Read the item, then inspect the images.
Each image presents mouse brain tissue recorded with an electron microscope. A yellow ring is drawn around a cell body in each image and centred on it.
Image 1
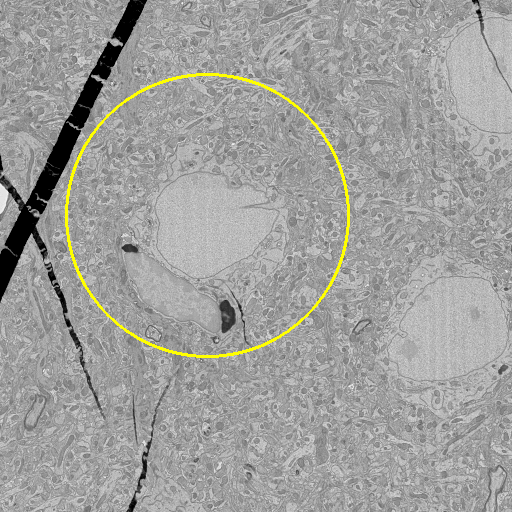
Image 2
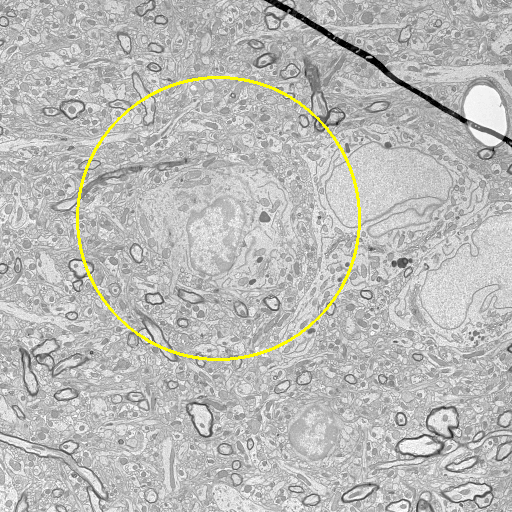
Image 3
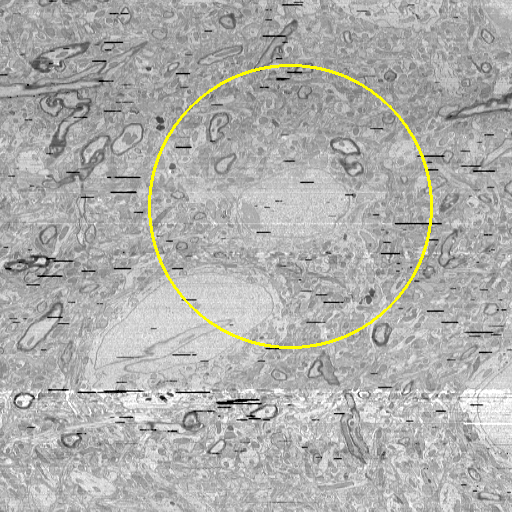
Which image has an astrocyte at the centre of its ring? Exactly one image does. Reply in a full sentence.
The ring in Image 3 is centred on it.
